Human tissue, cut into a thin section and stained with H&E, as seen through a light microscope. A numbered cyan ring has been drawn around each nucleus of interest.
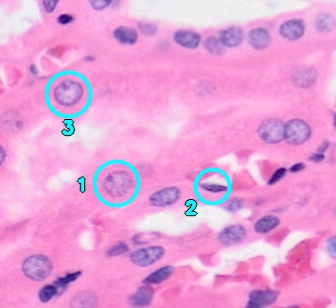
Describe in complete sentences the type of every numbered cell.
Cells 1 and 3 are proximal tubule cells. Cell 2 is an endothelial cell.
